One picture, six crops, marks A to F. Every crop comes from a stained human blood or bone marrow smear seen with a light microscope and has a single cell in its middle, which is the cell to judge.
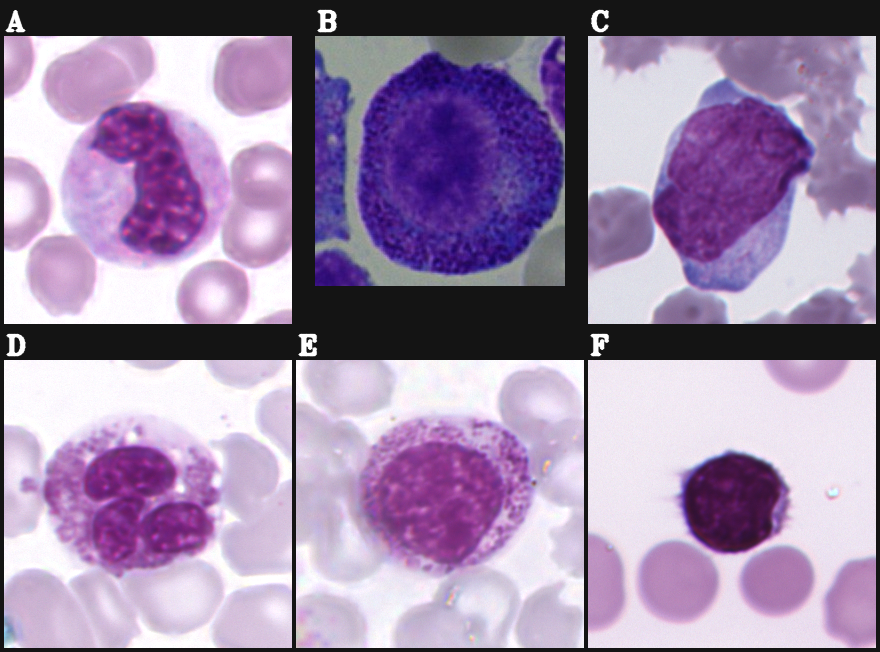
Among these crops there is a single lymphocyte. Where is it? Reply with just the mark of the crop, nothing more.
F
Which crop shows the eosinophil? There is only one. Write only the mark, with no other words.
D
